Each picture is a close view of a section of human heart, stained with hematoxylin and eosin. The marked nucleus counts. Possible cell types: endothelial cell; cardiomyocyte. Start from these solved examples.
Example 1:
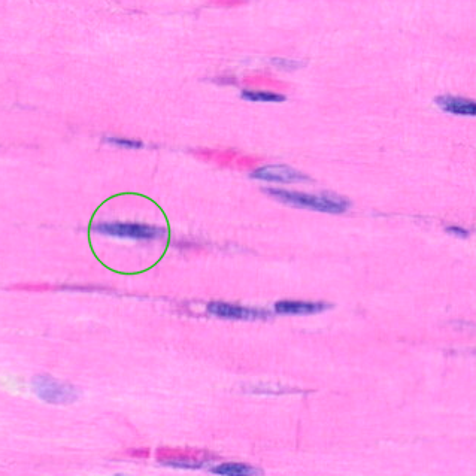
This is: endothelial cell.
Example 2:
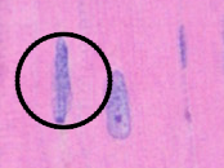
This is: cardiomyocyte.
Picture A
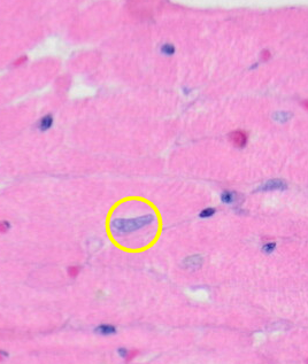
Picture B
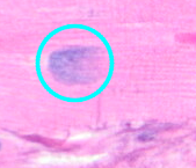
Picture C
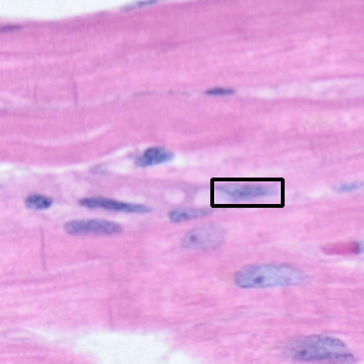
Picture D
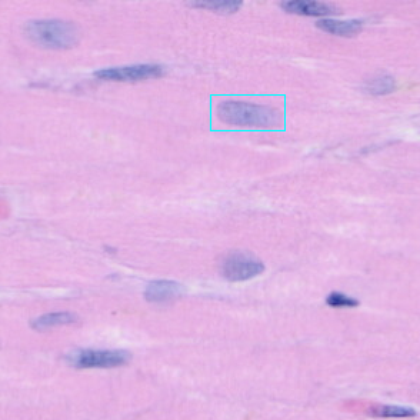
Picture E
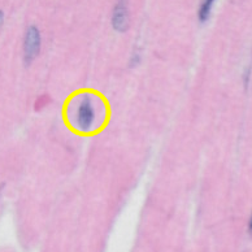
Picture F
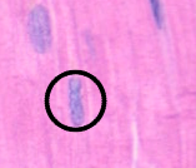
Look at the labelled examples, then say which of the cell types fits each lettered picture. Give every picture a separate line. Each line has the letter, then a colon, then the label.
A: cardiomyocyte.
B: cardiomyocyte.
C: endothelial cell.
D: cardiomyocyte.
E: endothelial cell.
F: cardiomyocyte.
